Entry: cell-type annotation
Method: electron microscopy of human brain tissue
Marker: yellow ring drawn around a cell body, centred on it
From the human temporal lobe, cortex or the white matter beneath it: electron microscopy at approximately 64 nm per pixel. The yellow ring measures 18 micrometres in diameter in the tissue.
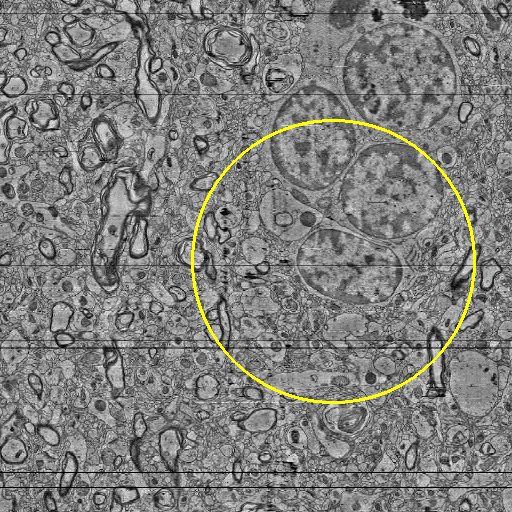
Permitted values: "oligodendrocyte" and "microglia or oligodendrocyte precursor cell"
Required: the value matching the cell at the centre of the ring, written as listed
microglia or oligodendrocyte precursor cell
